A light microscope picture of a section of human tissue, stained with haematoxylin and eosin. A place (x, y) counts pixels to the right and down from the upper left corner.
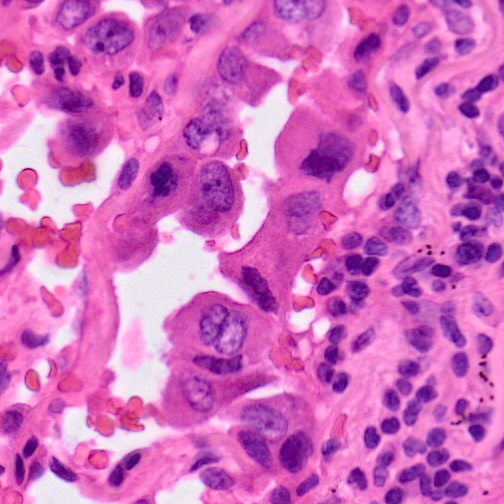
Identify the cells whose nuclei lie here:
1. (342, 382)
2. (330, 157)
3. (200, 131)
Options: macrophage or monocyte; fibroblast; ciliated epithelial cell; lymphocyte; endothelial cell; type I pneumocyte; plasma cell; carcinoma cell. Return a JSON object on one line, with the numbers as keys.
{"1": "lymphocyte", "2": "carcinoma cell", "3": "carcinoma cell"}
